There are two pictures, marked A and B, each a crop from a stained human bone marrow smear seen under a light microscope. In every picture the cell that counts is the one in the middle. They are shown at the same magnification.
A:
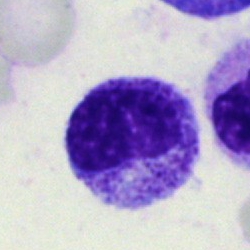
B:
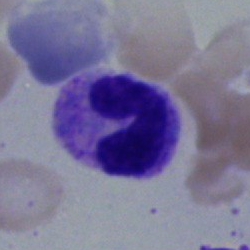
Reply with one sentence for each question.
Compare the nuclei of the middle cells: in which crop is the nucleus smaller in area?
Smaller is the nucleus in crop B, and the other is about 1.5 times as large in area.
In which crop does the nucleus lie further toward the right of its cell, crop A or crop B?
Seen within its cell, the nucleus in crop B lies further toward the right.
